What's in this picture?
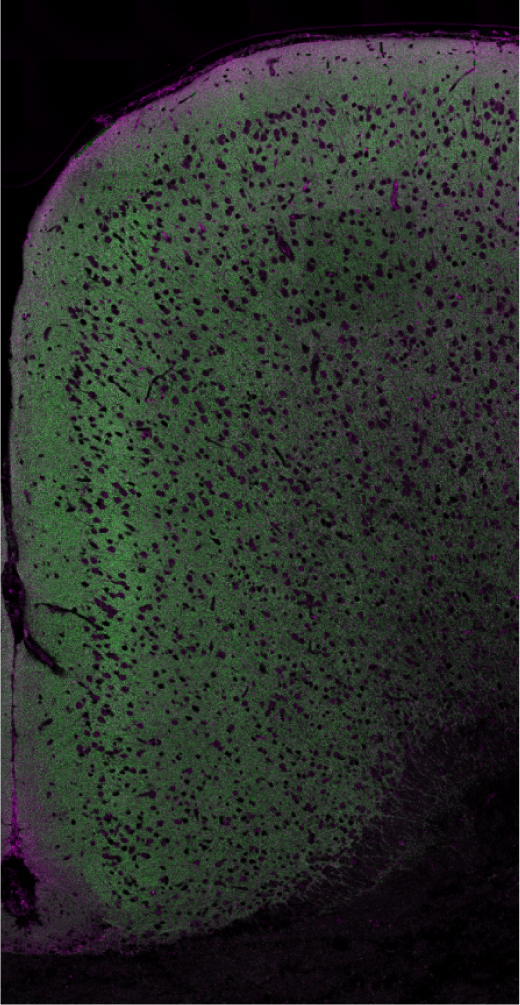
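This is a low-magnification fluorescence view of one hemisphere of the cortex, with the midline along the left edge and the pial surface curving over the top. Scattered through it are many small dark round to oval holes, unlabeled profiles where cell bodies sit, along with a few thin dark streaks that run like vessels. A thin magenta rim lines the outer surface and the midline border. Toward the bottom the green fades into a darker, fibrous-looking zone with little staining.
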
